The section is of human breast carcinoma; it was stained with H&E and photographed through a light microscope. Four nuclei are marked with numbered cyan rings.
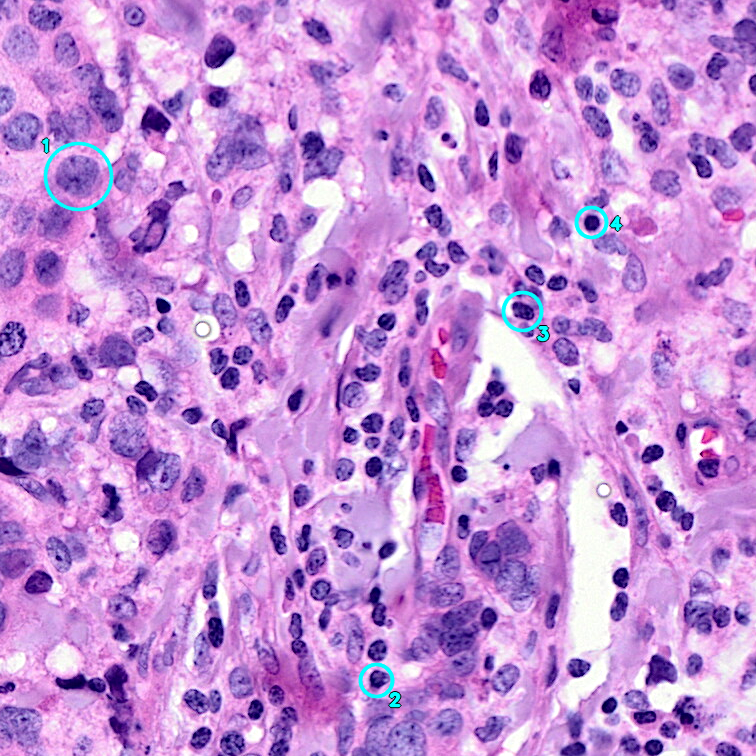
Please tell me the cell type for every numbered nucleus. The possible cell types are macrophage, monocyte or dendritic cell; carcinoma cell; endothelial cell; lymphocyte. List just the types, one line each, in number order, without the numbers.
carcinoma cell
lymphocyte
lymphocyte
lymphocyte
